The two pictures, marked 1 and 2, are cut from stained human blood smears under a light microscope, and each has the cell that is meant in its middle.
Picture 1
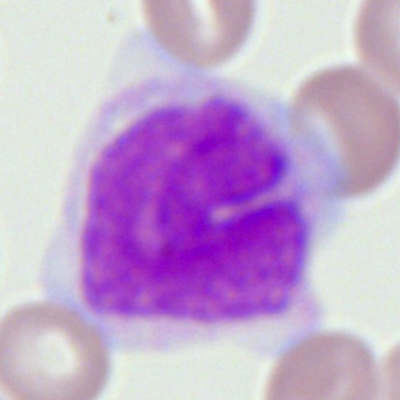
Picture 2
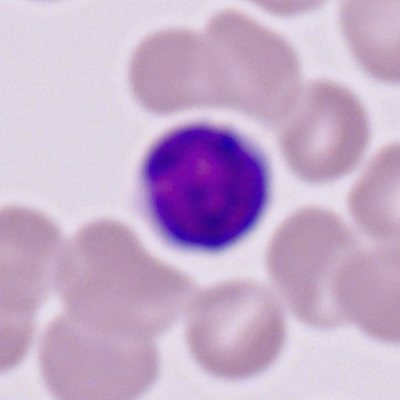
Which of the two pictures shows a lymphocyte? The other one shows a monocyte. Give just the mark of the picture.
2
